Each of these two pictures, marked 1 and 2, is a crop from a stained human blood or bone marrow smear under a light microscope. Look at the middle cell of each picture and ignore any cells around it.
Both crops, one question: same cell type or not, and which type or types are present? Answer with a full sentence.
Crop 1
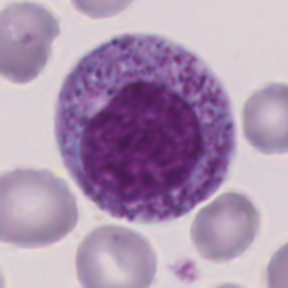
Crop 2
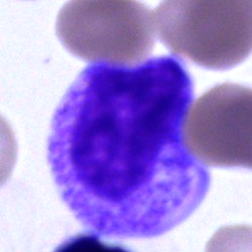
Yes, the cells that the two crops centre on are promyelocytes.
